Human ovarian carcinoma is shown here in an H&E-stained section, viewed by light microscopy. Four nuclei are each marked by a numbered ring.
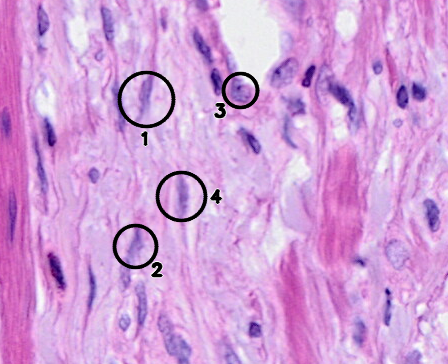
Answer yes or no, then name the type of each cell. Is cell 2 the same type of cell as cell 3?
No, cell 2 is a fibroblast whereas cell 3 is an endothelial cell.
